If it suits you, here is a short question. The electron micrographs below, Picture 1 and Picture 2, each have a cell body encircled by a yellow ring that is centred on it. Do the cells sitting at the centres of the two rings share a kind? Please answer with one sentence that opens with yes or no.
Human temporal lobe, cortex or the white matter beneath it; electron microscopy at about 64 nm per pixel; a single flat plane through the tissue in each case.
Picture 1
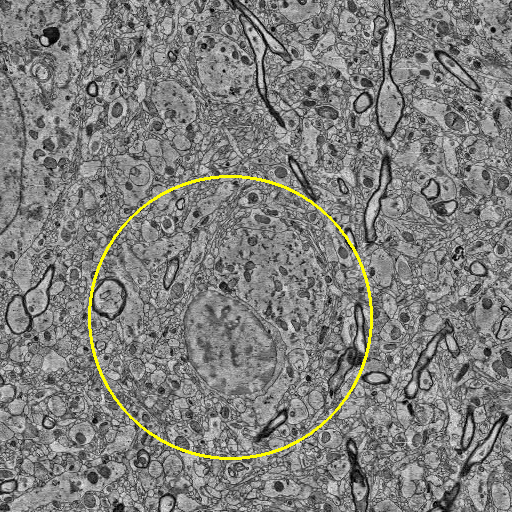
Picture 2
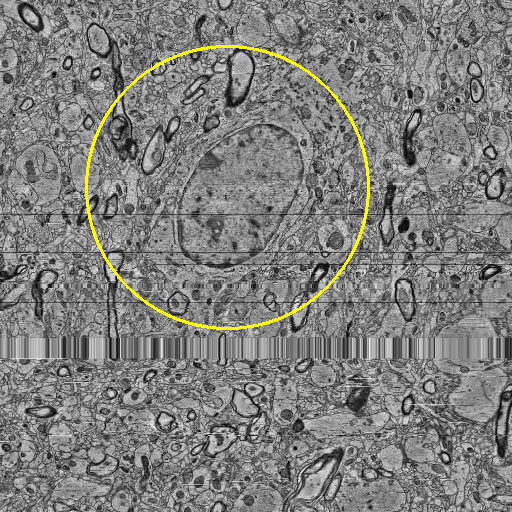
No, the two cells sitting at the ring centres fall into two kinds.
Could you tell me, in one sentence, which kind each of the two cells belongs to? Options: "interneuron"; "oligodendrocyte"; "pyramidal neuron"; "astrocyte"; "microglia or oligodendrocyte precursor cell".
At the centre of the first ring sits an oligodendrocyte, and at the centre of the second sits a microglial cell or oligodendrocyte precursor cell.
